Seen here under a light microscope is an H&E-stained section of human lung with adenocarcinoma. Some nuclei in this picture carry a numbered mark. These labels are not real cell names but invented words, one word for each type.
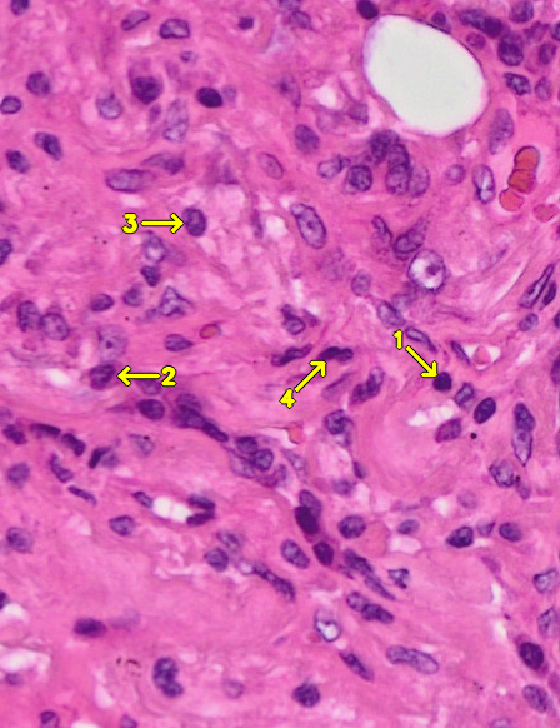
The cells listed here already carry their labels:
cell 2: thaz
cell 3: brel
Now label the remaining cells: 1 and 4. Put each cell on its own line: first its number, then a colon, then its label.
1: brel
4: thaz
